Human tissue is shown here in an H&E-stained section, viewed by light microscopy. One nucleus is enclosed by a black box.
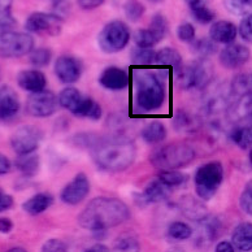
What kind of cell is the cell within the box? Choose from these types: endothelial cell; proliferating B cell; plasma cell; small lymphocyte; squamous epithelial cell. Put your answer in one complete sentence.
Right, so the cell within the box is a proliferating B cell, to answer that.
